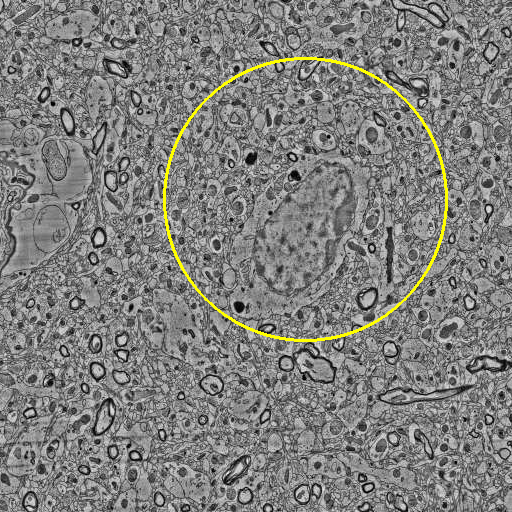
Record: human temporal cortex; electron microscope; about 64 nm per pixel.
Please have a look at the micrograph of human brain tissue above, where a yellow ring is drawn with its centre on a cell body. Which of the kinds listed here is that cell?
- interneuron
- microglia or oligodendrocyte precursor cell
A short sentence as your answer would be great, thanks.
At the centre of the ring sits an interneuron.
